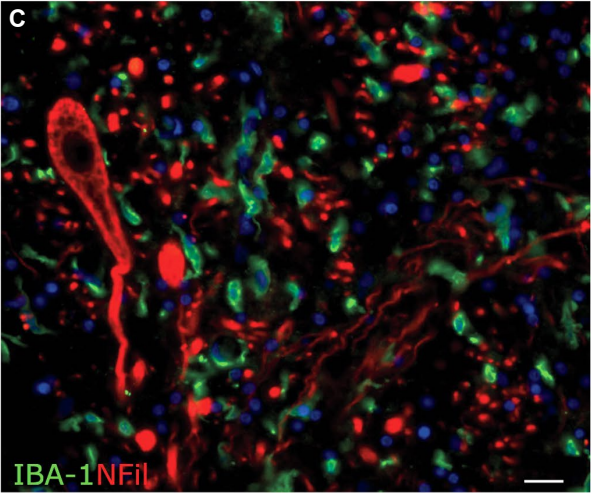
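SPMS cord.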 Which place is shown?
Grey matter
